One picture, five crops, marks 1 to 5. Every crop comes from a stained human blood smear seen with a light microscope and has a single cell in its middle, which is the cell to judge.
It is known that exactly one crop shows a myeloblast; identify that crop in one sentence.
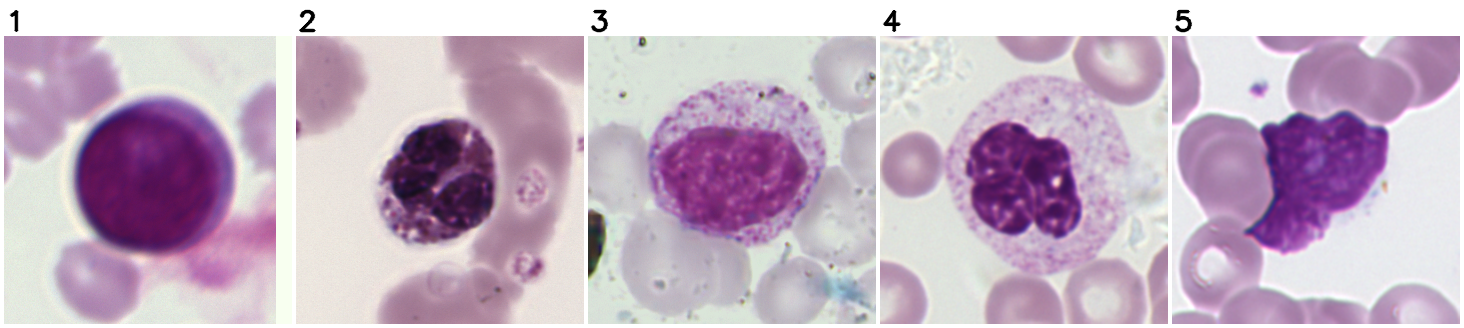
Look at crop 1; that is the one with a myeloblast in its center.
